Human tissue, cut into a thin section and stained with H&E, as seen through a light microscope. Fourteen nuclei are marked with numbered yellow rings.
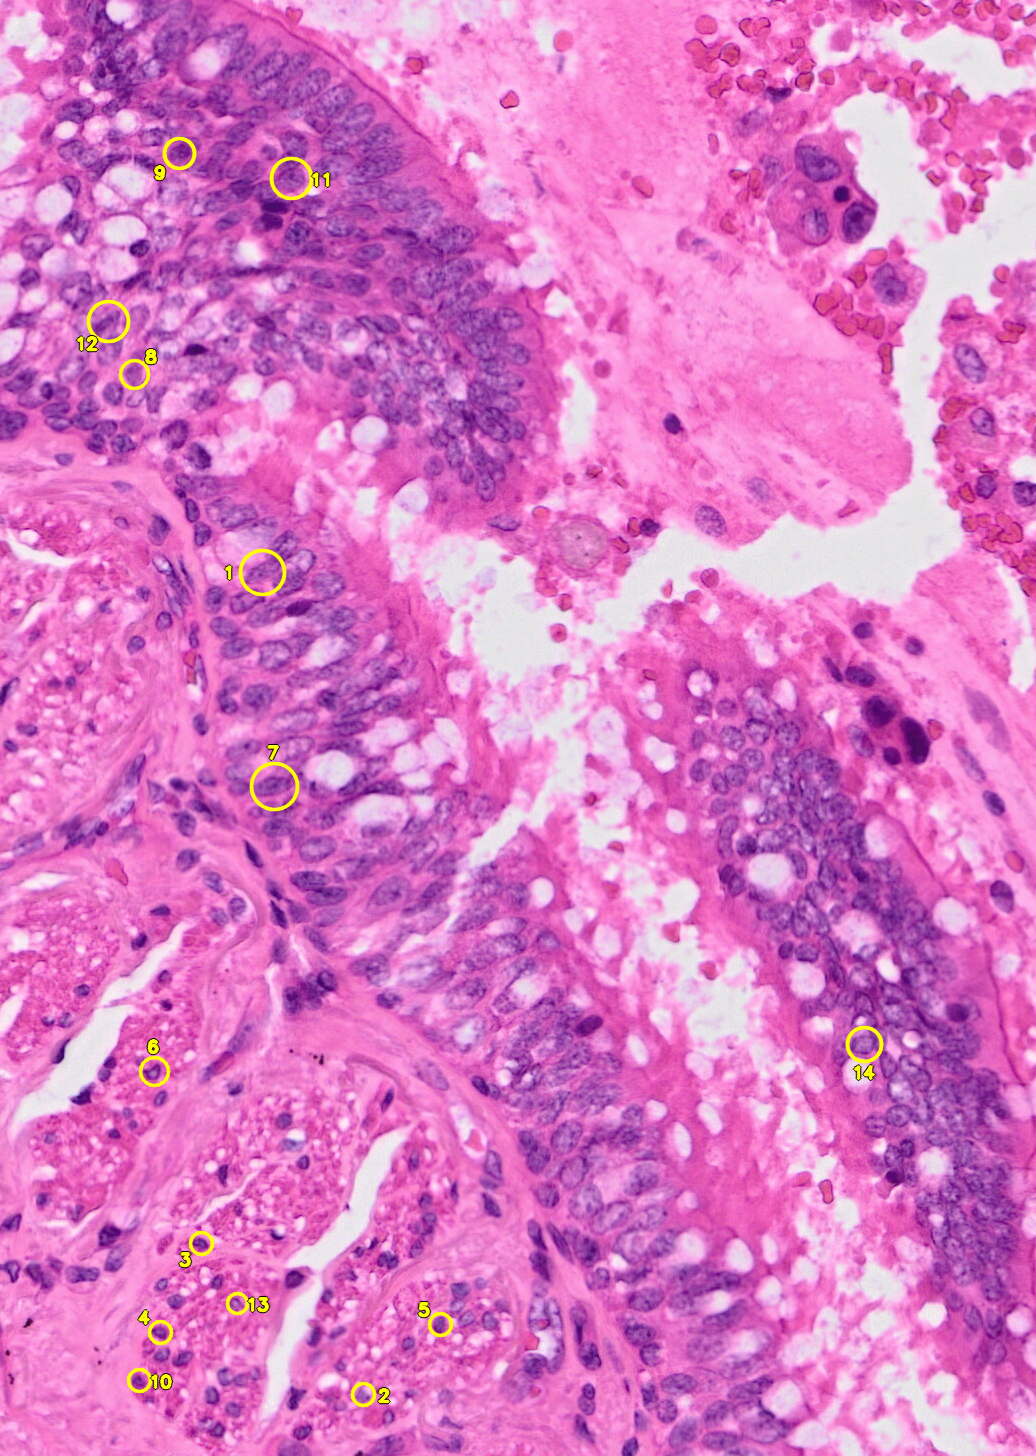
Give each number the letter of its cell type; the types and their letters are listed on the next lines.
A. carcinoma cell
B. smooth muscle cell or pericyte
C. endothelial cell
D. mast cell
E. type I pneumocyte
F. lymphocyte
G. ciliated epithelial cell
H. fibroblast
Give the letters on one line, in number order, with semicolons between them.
G; B; B; B; B; B; G; G; G; B; G; G; B; G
